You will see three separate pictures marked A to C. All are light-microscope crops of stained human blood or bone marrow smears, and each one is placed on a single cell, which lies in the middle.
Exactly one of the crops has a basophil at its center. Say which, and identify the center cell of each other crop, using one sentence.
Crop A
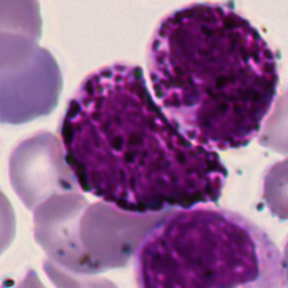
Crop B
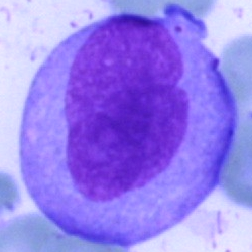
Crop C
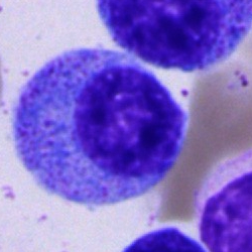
Crop A is the one showing a basophil, whereas crop B is a blast and crop C is a promyelocyte.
